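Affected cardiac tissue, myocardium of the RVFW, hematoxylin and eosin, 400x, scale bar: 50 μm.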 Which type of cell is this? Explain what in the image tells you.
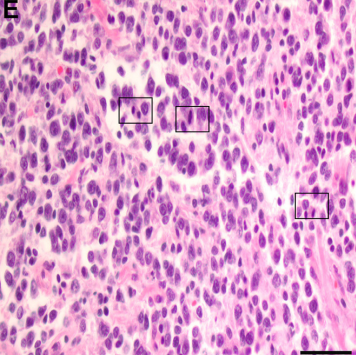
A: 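Dense sheets of round cells with large round to oval purple nuclei. Scant cytoplasm around each nucleus. Nuclei vary in size and shape.
Hence: Large neoplastic lymphocytes.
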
